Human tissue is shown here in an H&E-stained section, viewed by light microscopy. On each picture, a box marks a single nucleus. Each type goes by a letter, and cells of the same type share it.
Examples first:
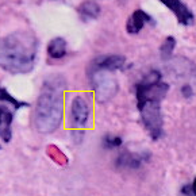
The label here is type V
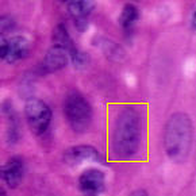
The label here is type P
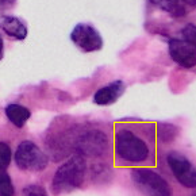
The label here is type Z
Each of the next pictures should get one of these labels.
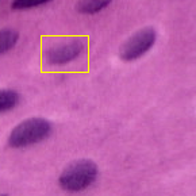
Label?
type P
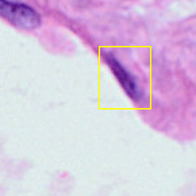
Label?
type V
